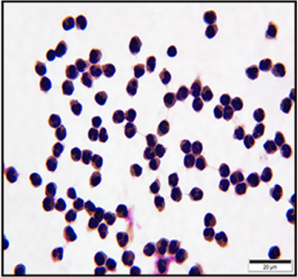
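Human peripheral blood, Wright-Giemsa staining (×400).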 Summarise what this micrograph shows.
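The cells are of fairly uniform size. Only a narrow rim of pale cytoplasm is visible around the nuclei. A few faint pink strands lie between some of the cells.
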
